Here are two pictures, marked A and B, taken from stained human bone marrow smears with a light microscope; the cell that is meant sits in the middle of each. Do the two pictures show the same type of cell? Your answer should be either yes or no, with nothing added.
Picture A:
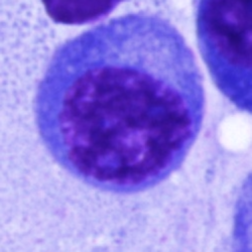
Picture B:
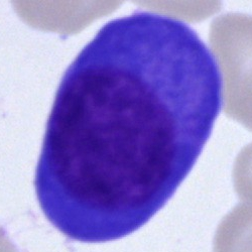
yes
